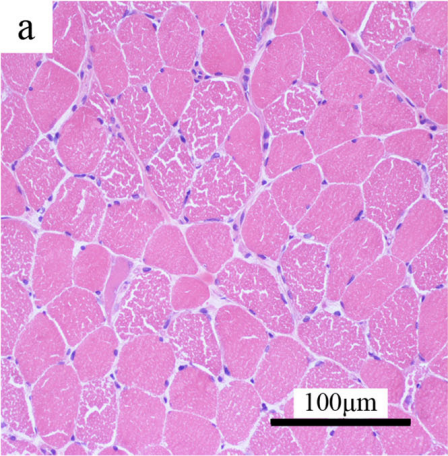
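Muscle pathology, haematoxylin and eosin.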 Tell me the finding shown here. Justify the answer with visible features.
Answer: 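Scattered small vacuoles. Many fibres contain small clear slit-like spaces in their pink cytoplasm. The clear spaces are spread across many fibres.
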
